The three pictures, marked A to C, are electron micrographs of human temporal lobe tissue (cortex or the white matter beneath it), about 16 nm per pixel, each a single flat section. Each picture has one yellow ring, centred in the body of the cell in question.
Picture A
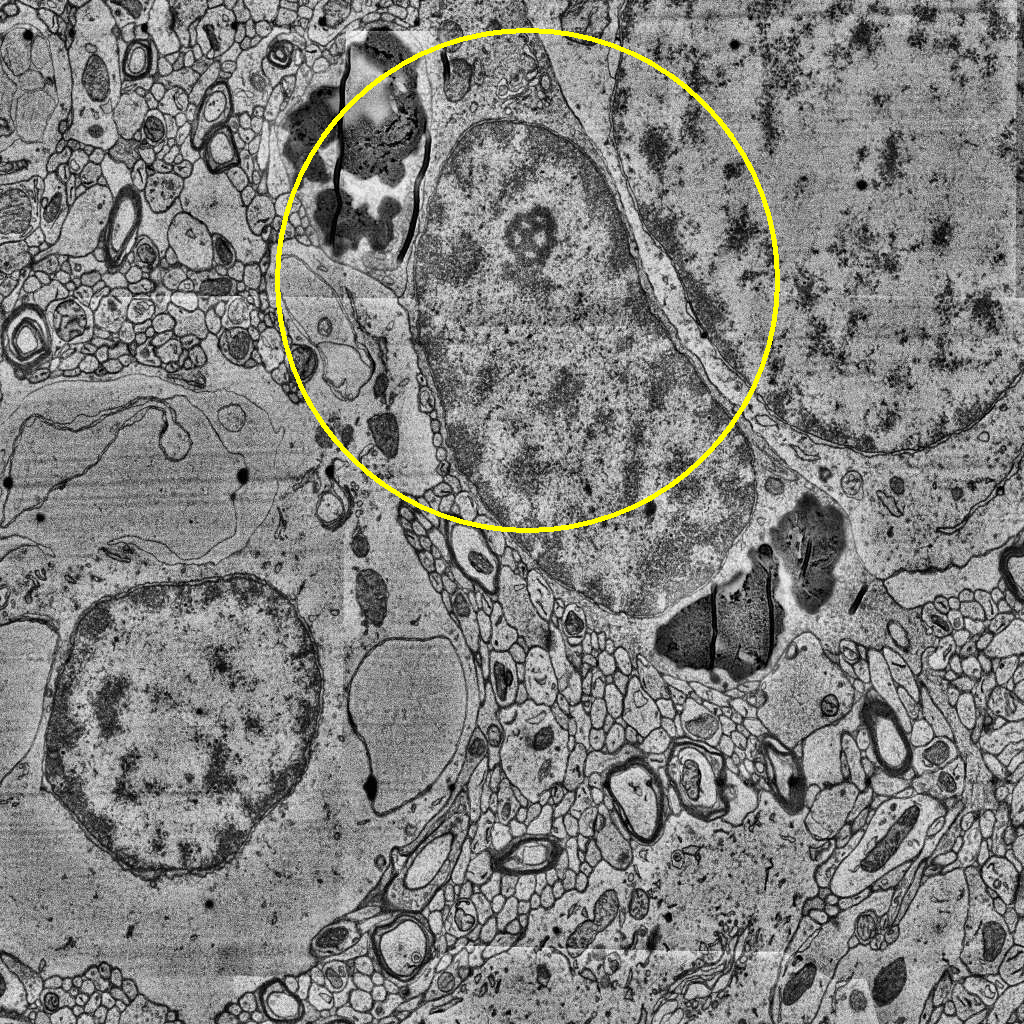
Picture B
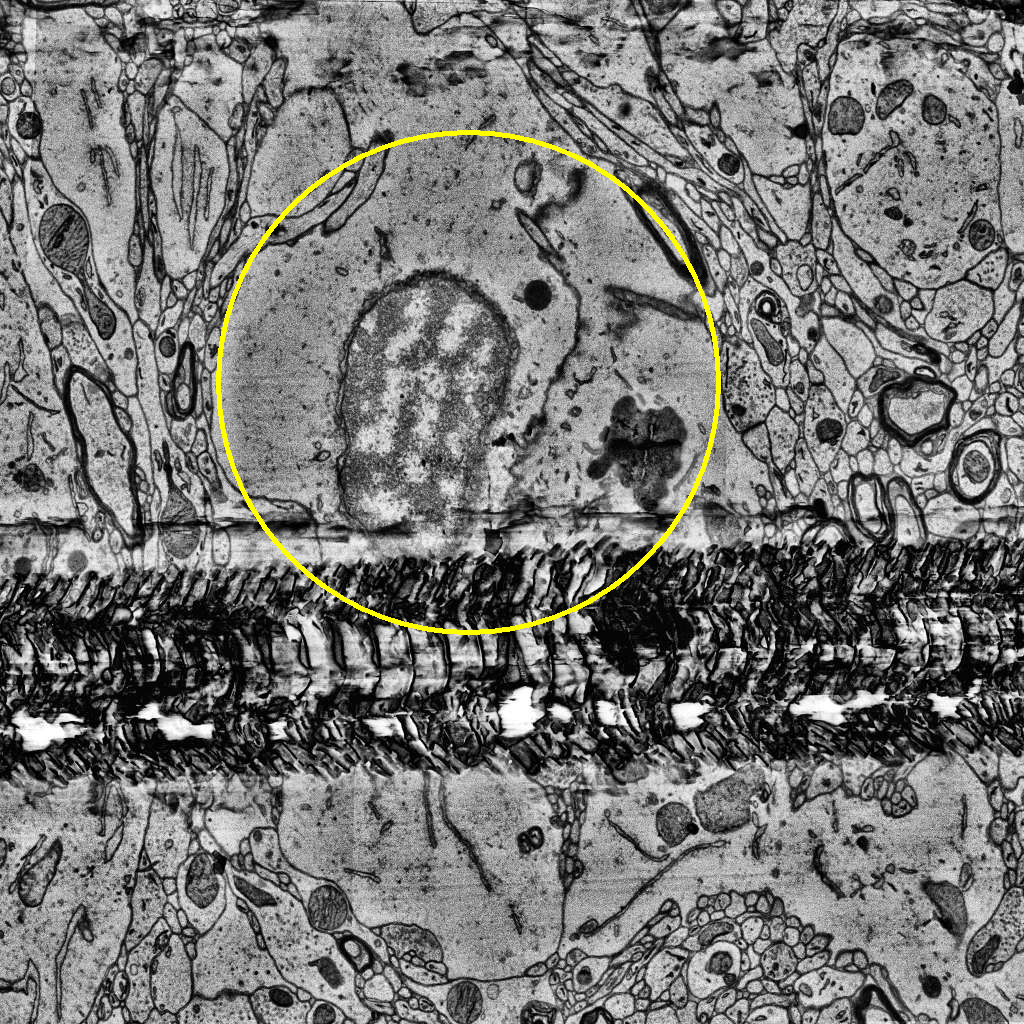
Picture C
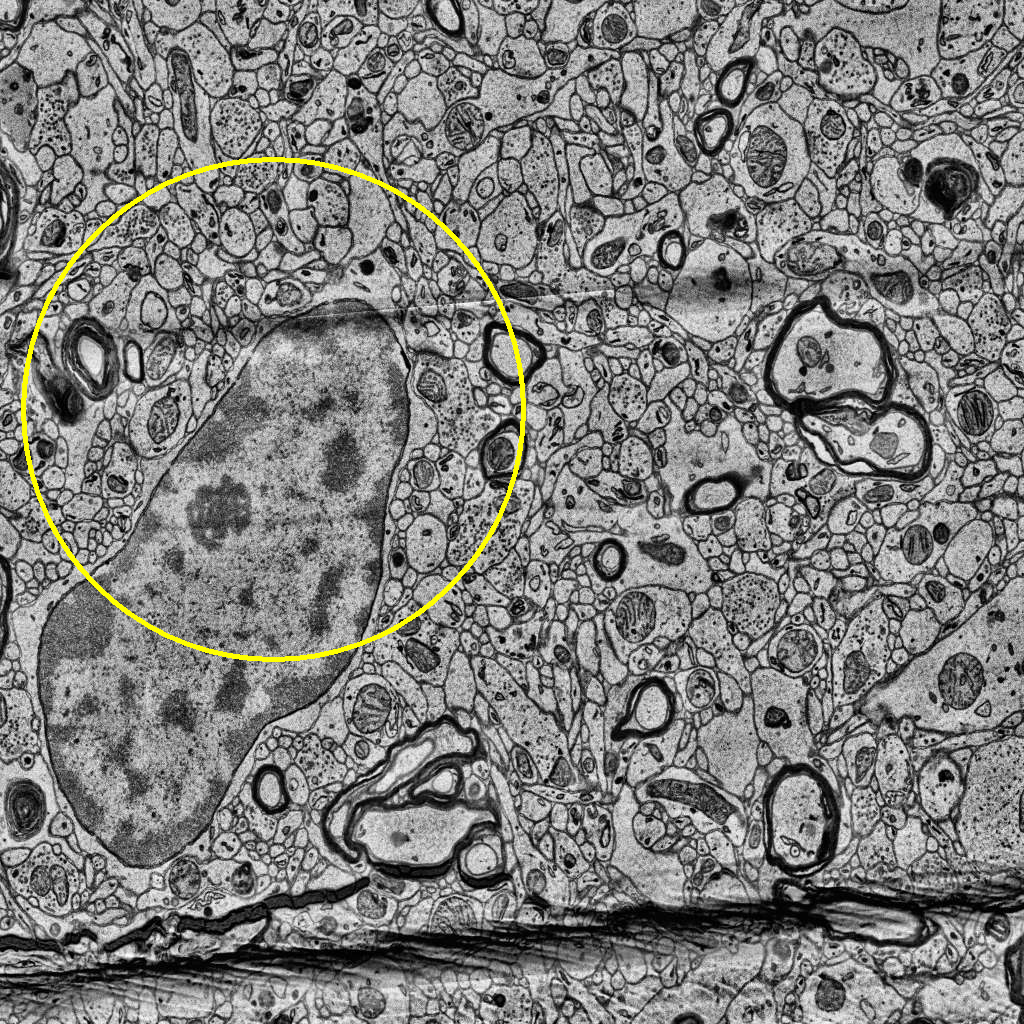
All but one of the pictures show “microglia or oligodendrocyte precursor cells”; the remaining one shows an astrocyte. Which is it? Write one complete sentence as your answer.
Picture B shows the astrocyte.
